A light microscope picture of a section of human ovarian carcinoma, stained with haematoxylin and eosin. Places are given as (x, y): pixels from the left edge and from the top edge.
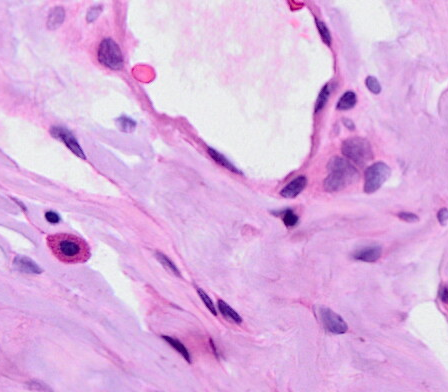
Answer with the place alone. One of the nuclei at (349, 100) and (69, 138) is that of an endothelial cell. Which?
(69, 138)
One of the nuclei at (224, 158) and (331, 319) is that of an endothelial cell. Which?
(224, 158)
